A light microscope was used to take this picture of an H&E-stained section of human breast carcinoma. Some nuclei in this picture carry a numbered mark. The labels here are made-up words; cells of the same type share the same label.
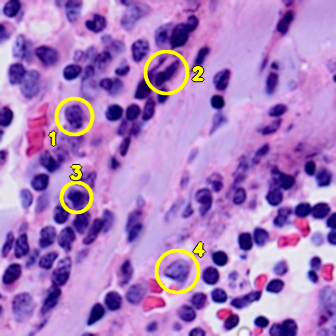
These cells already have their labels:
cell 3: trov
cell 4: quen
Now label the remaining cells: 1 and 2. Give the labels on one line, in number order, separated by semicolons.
trov; trov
